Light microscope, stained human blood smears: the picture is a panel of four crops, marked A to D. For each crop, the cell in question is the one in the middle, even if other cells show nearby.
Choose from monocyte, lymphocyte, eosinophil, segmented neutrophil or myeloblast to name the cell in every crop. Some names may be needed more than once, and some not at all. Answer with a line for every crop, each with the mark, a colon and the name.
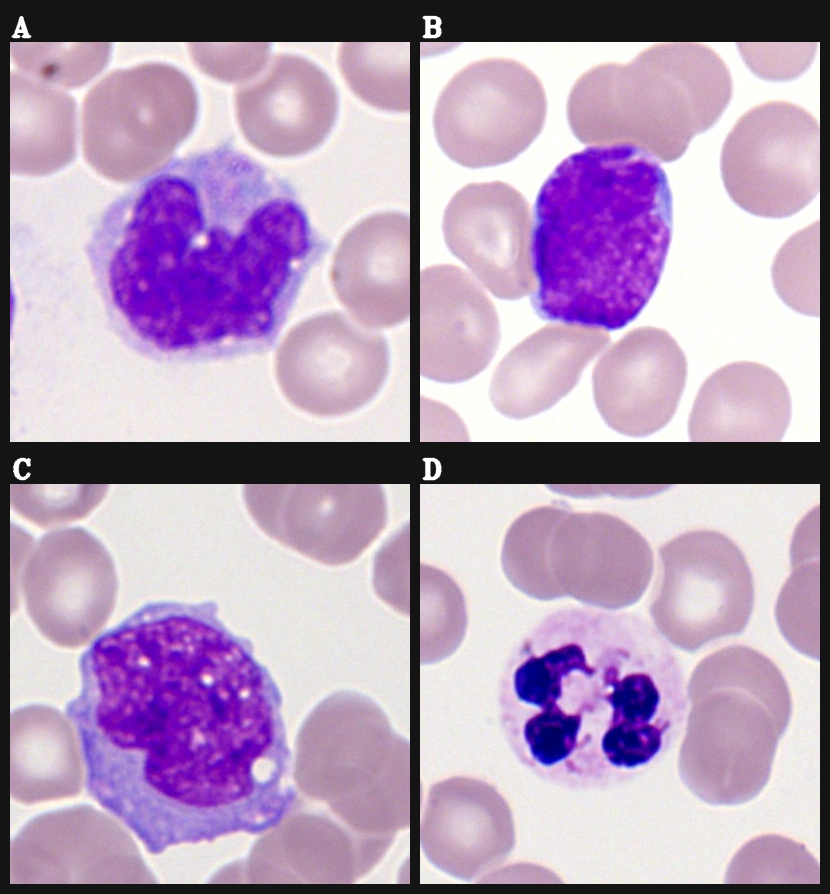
A: monocyte
B: myeloblast
C: monocyte
D: segmented neutrophil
